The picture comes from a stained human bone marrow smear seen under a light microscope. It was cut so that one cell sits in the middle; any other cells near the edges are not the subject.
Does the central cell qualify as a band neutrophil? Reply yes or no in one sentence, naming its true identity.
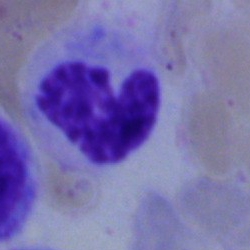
Yes, this central cell is a band neutrophil.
